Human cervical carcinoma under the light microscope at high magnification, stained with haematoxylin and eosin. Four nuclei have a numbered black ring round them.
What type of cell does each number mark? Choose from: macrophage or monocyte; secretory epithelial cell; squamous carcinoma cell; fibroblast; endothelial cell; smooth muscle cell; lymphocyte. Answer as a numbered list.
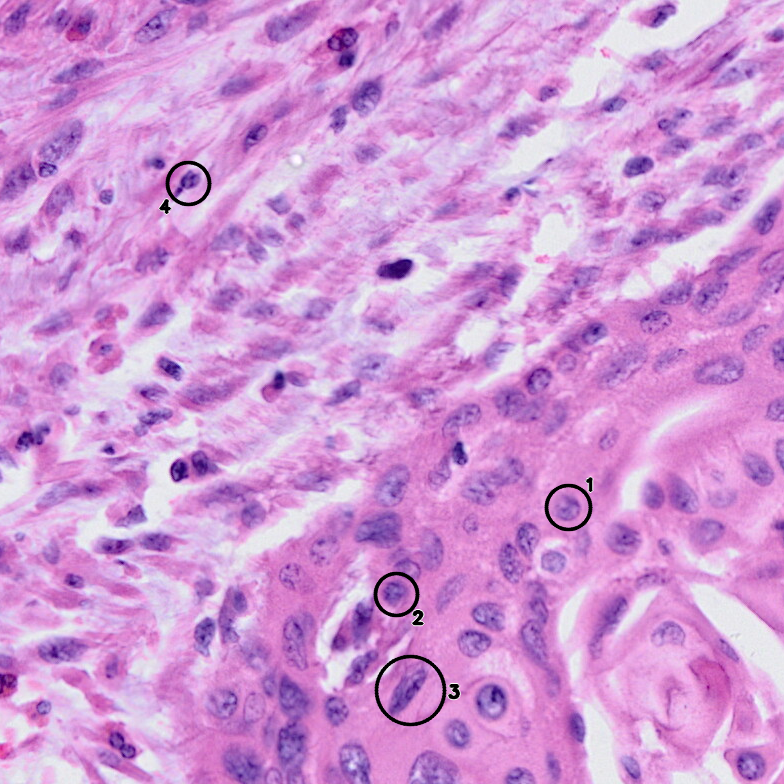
1. squamous carcinoma cell
2. squamous carcinoma cell
3. squamous carcinoma cell
4. lymphocyte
